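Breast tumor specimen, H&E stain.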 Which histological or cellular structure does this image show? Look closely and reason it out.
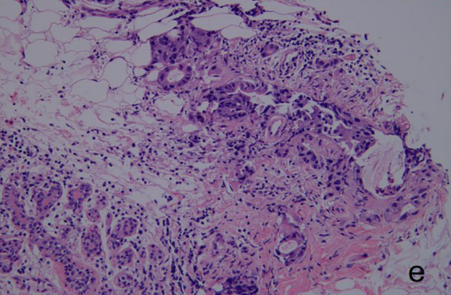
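Tubular structures. Small irregular tubules of epithelial cells lie in a fibrous stroma. The tubule cells have enlarged dark nuclei.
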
